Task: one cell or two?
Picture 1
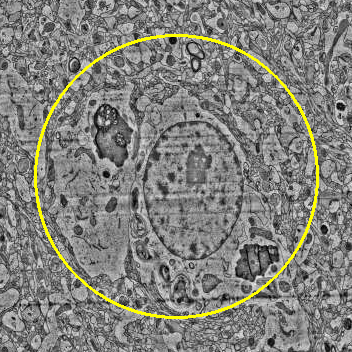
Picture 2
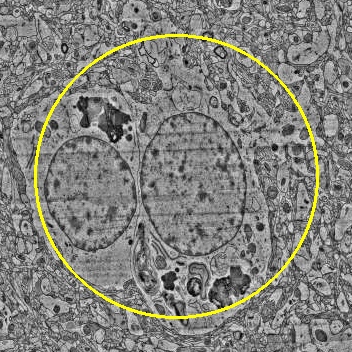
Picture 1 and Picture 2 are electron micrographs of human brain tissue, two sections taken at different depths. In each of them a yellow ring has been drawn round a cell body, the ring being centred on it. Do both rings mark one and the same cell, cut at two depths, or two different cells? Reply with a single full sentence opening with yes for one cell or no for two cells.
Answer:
Yes, the two yellow circles hold the same cell.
